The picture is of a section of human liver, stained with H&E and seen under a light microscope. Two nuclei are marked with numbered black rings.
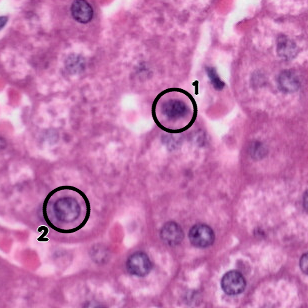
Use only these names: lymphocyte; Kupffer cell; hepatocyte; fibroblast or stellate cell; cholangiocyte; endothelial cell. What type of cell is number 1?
fibroblast or stellate cell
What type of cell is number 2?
hepatocyte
